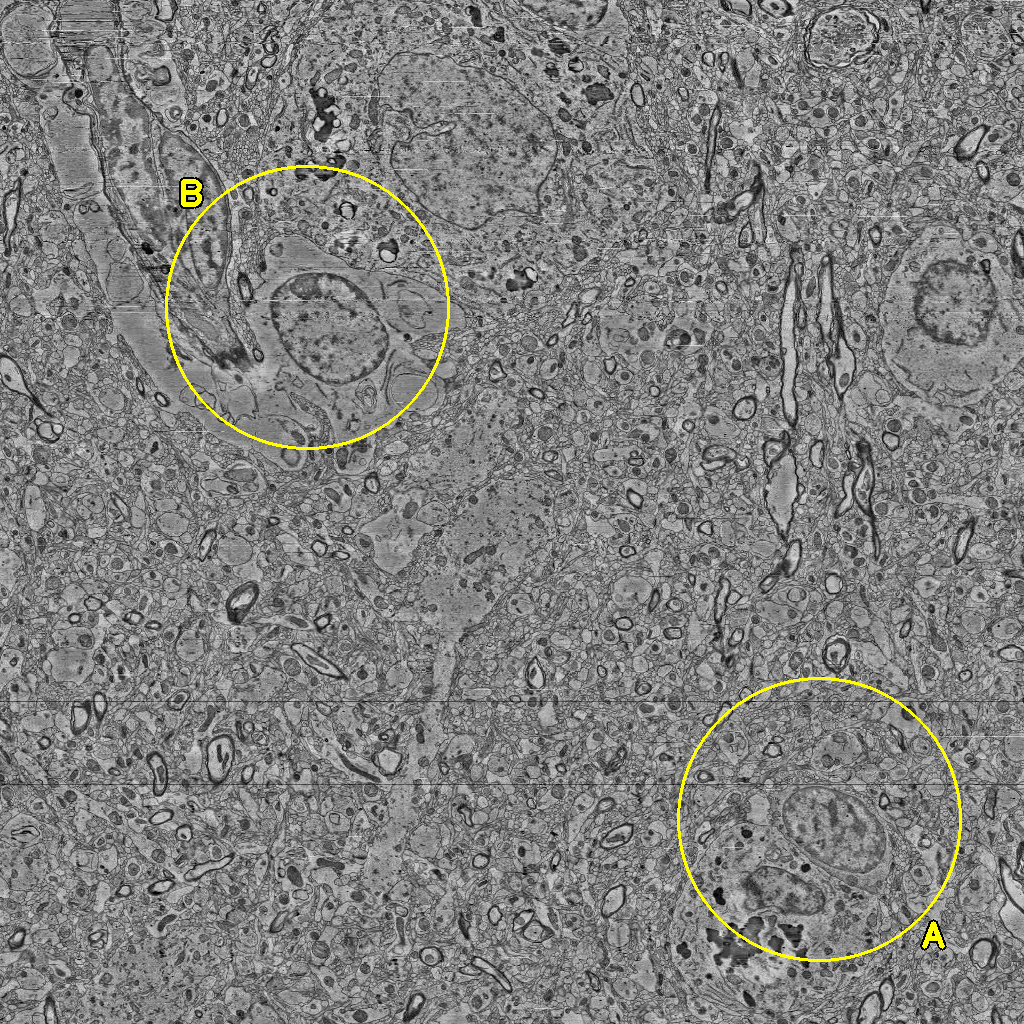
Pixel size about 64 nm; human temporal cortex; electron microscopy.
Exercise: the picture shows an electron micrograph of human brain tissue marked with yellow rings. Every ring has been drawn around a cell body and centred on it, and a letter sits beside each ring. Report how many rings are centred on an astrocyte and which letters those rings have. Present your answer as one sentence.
Ring B is the single ring in the micrograph centred on an astrocyte.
